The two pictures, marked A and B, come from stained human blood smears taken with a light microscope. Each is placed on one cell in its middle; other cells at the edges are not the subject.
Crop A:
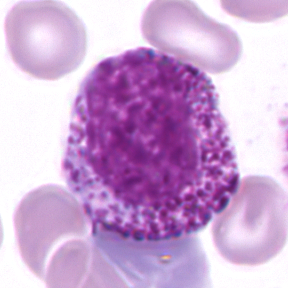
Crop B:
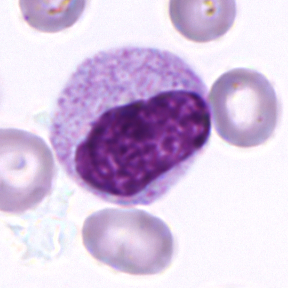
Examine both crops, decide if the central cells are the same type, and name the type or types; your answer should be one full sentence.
No, crop A contains a myelocyte, whereas crop B contains a metamyelocyte.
